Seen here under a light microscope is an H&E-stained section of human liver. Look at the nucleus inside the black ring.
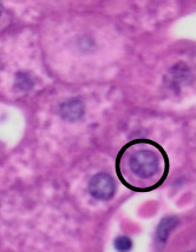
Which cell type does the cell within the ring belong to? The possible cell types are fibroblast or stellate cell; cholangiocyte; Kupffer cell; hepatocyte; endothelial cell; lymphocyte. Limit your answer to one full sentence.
Typologically, the cell within the ring is a hepatocyte in this section.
